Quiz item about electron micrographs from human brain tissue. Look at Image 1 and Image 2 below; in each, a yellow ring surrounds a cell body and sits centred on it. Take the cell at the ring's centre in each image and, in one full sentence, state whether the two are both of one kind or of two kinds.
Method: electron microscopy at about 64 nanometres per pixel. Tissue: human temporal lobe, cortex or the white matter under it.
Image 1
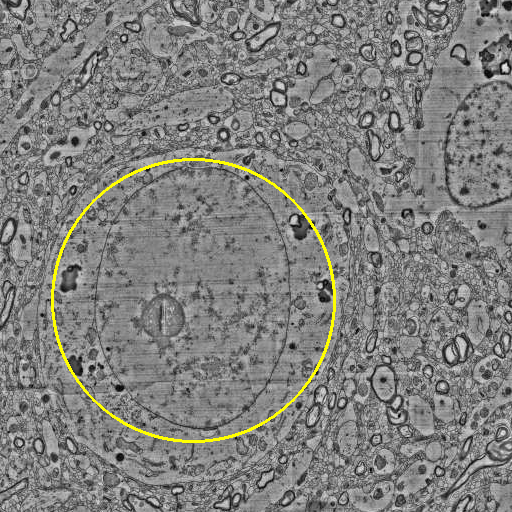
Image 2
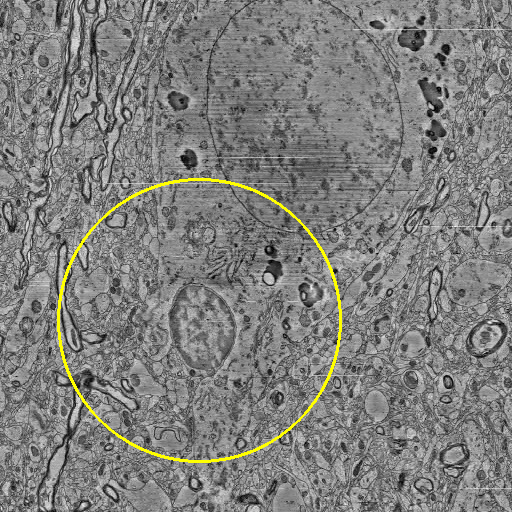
In Image 1 and Image 2, the cells at the ring centres are of two kinds.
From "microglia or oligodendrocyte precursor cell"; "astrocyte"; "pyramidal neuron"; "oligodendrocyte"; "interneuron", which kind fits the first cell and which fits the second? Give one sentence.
The cell marked in the first picture is a pyramidal neuron, and the one marked in the second is an oligodendrocyte.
